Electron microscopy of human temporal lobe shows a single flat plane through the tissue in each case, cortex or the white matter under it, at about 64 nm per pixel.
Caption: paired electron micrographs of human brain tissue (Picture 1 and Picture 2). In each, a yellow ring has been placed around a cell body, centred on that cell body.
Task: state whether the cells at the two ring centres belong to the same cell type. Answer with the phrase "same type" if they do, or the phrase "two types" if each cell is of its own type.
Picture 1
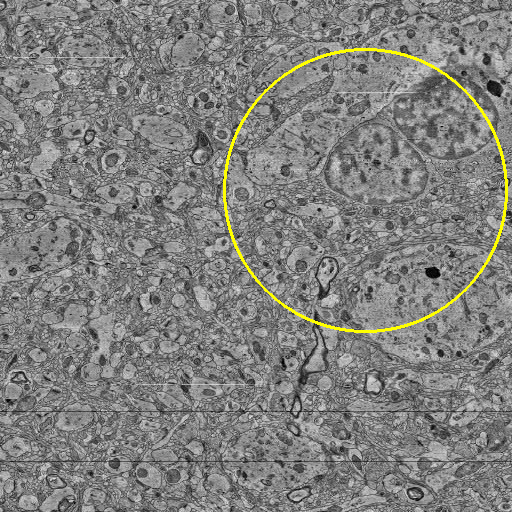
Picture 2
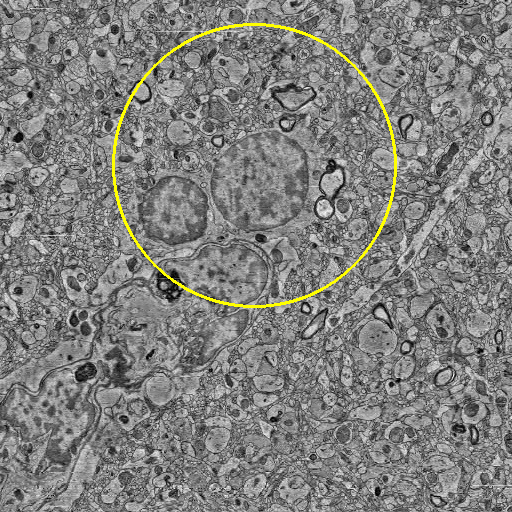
same type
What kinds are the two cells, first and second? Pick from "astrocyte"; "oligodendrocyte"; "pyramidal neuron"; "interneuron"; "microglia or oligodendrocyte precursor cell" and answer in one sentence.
Each of the two pictures has an oligodendrocyte at the ring centre.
